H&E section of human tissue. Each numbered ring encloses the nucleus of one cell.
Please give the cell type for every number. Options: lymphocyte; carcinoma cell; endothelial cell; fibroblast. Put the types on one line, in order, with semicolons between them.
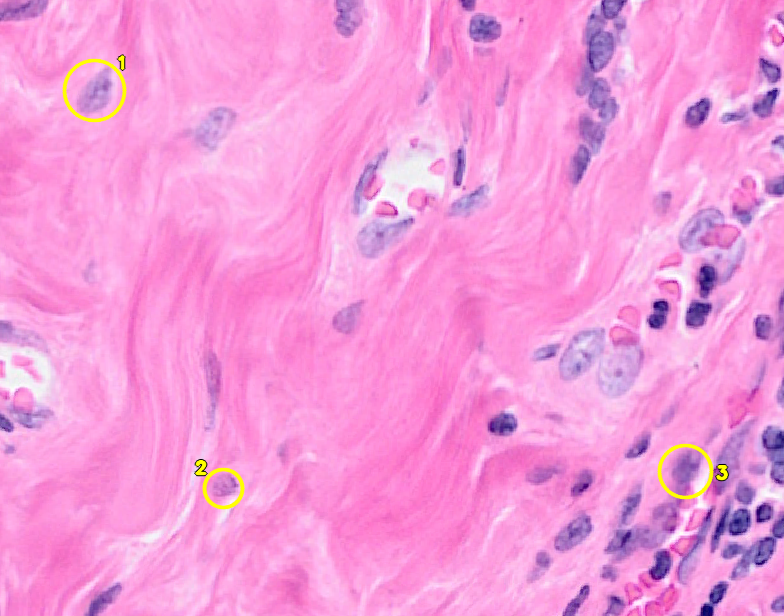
fibroblast; fibroblast; endothelial cell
